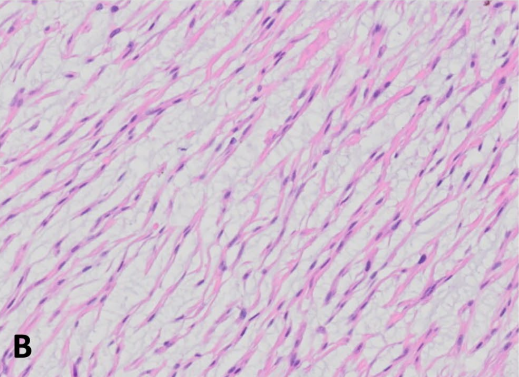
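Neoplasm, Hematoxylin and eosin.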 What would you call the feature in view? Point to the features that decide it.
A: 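Myxoid matrix. Pale, loose, faintly bluish background between the cells. Cells widely separated by this loose material.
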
